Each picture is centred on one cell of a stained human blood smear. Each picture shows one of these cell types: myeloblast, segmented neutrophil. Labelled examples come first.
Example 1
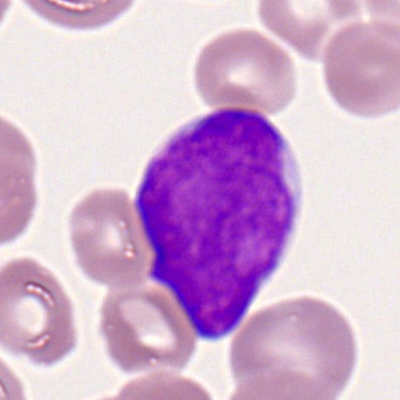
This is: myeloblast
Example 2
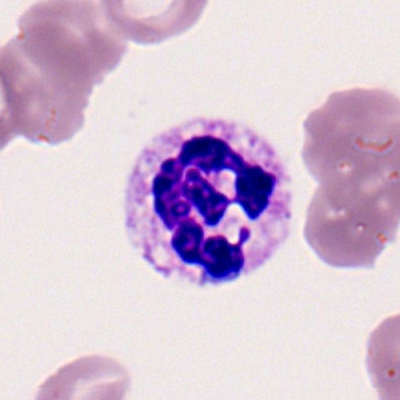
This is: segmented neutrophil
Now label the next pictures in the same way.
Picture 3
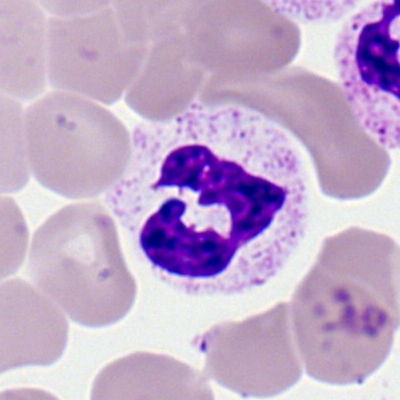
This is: segmented neutrophil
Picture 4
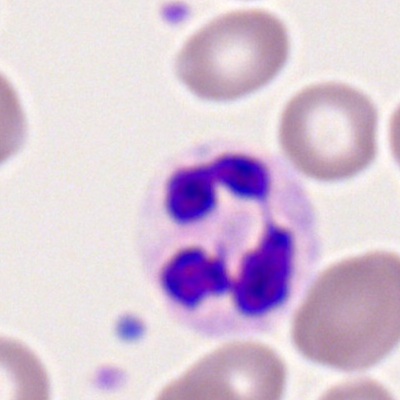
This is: segmented neutrophil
